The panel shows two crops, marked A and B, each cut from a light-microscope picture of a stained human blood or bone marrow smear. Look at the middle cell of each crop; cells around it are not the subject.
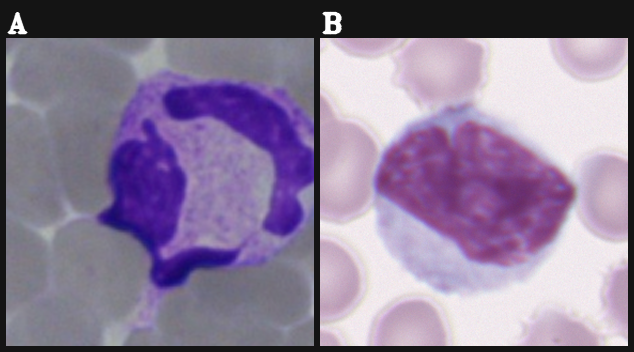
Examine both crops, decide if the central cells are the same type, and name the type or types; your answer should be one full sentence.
No, crop A features a segmented neutrophil, while crop B features a monocyte.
